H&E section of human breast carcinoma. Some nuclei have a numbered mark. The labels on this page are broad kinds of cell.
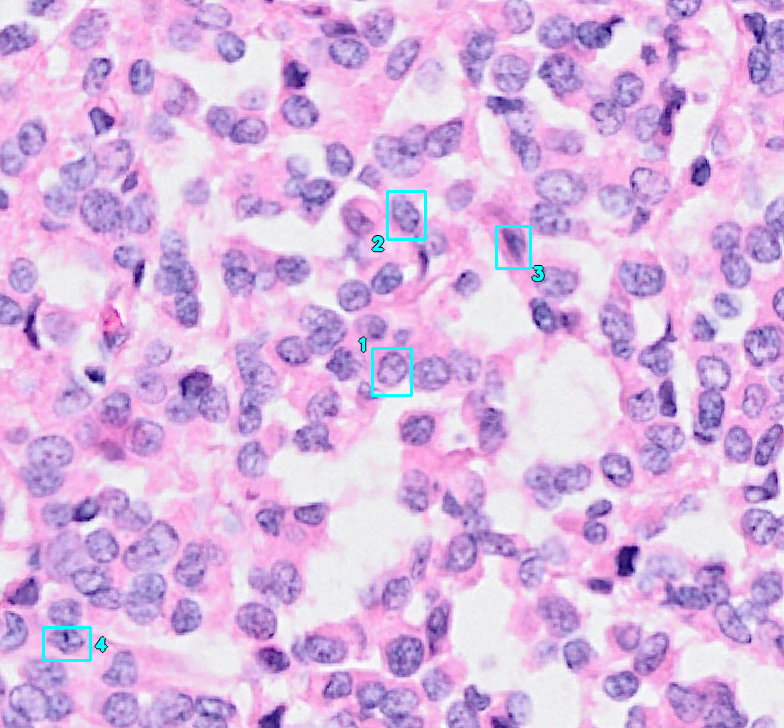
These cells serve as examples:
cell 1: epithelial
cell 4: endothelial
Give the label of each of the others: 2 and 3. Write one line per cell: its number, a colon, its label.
2: epithelial
3: endothelial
